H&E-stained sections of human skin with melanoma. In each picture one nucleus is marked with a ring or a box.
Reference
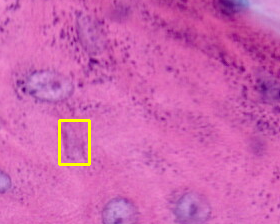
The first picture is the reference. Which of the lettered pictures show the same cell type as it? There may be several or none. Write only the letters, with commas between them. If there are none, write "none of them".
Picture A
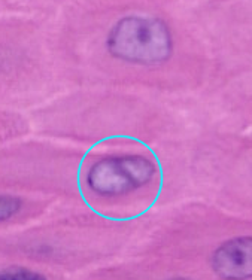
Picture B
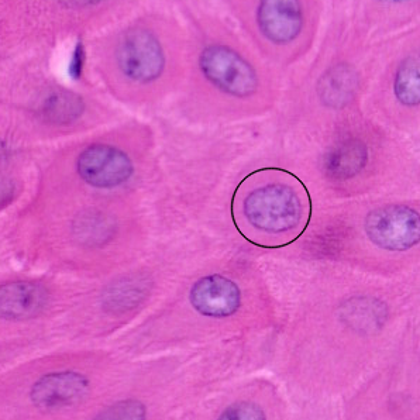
A, B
